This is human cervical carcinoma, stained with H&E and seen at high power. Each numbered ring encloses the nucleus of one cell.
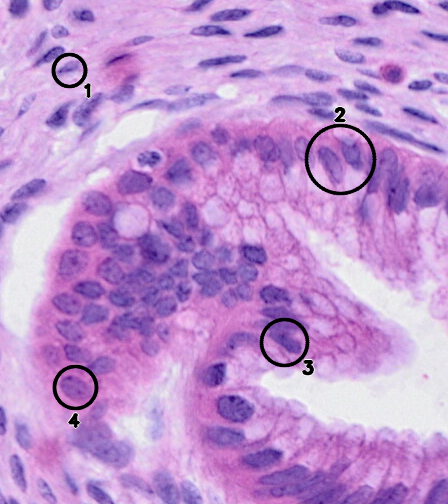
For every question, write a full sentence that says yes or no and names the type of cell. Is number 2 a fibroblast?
No, cell 2 isn't a fibroblast; it's a secretory epithelial cell.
